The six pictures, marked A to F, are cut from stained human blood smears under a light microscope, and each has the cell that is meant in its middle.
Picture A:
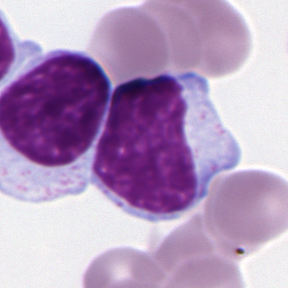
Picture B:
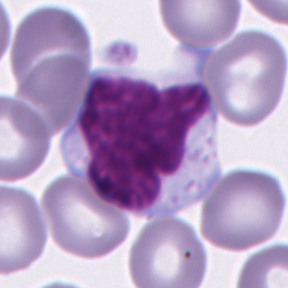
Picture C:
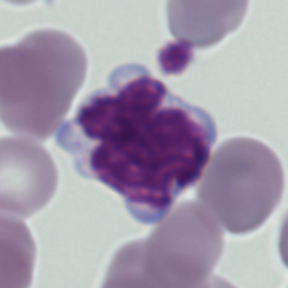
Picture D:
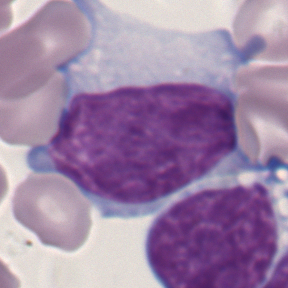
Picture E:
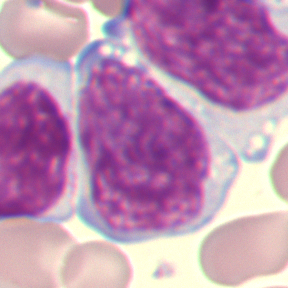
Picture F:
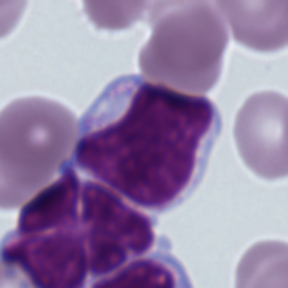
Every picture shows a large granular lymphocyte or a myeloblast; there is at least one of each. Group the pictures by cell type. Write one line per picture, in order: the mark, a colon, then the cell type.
A: large granular lymphocyte
B: large granular lymphocyte
C: large granular lymphocyte
D: myeloblast
E: myeloblast
F: large granular lymphocyte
